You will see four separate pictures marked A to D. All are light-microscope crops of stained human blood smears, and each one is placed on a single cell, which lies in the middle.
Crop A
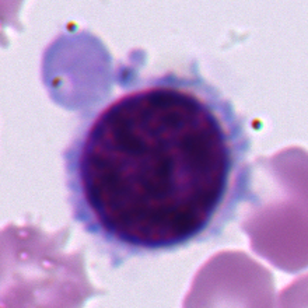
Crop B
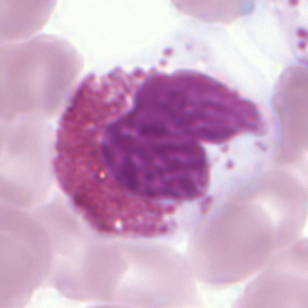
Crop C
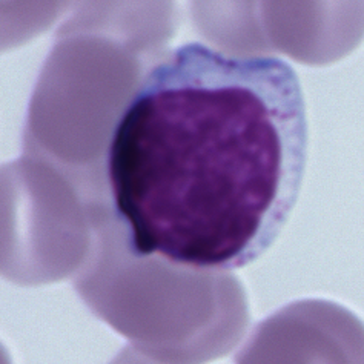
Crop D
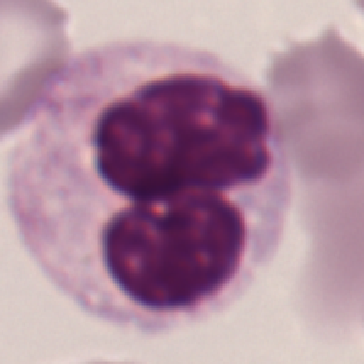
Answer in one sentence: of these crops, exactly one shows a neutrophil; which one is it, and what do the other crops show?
Here crop D shows a neutrophil, while crop A is a hairy cell, crop B is an eosinophil and crop C is a large granular lymphocyte.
